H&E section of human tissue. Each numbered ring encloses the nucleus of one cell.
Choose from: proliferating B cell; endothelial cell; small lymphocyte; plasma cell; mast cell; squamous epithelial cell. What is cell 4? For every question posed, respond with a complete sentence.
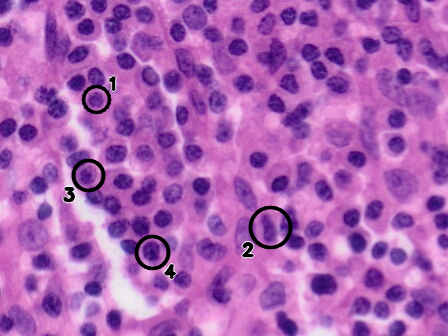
Identified as a plasma cell is the cell bearing the number 4.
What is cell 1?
The label 1 in this section denotes a plasma cell.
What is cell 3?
The numbered cell 3 is identified here as a plasma cell.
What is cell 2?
Denoted by the label 2 in the section is a squamous epithelial cell.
